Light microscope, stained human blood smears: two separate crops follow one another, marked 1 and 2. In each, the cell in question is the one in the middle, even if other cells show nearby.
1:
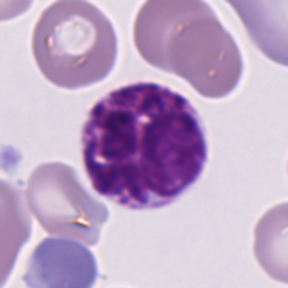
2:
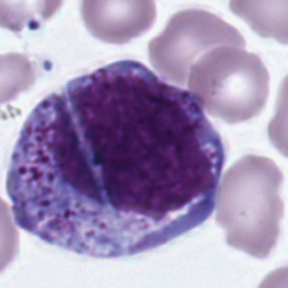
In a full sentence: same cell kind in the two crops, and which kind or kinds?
No, the cell in crop 1 is a basophil and the one in crop 2 is a promyelocyte.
